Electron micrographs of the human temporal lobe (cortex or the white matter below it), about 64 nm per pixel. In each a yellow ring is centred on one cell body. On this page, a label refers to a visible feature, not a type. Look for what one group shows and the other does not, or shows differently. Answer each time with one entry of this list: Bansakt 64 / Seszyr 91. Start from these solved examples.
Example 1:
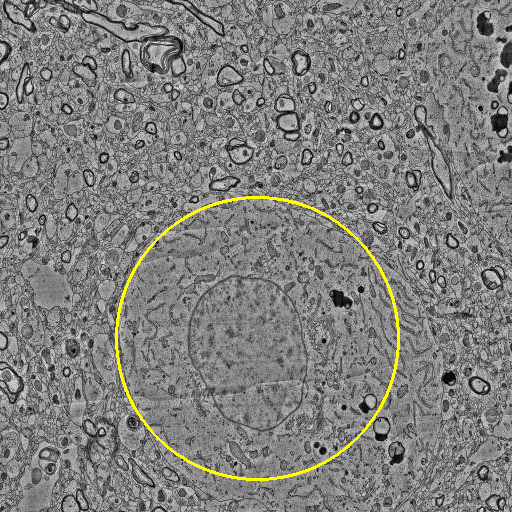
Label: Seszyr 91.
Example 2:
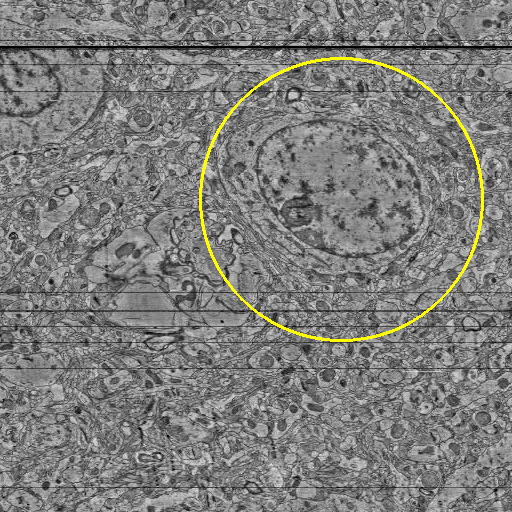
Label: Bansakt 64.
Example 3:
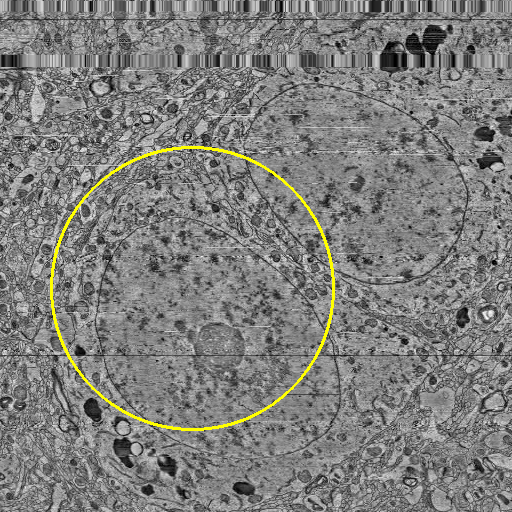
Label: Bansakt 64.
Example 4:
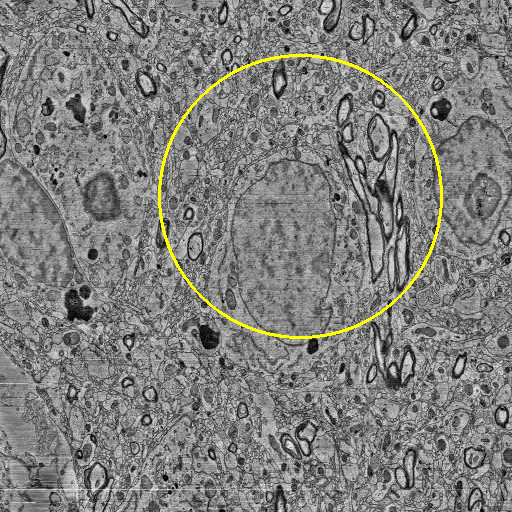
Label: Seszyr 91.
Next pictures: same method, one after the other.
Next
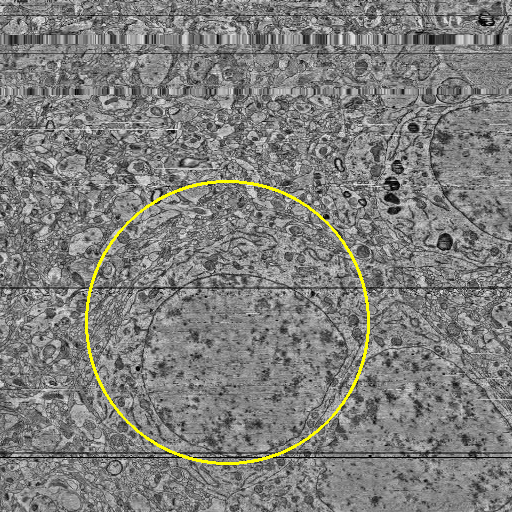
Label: Seszyr 91.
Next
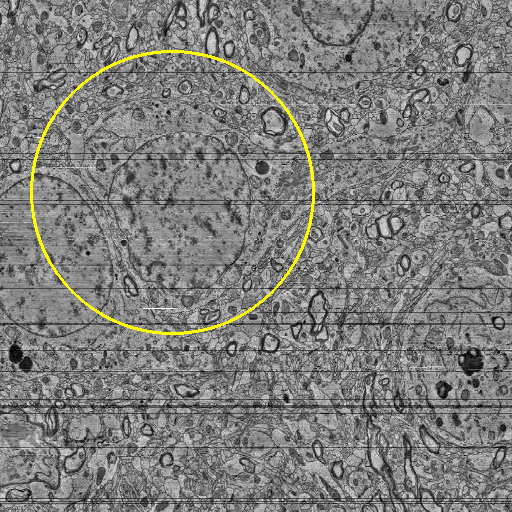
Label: Seszyr 91.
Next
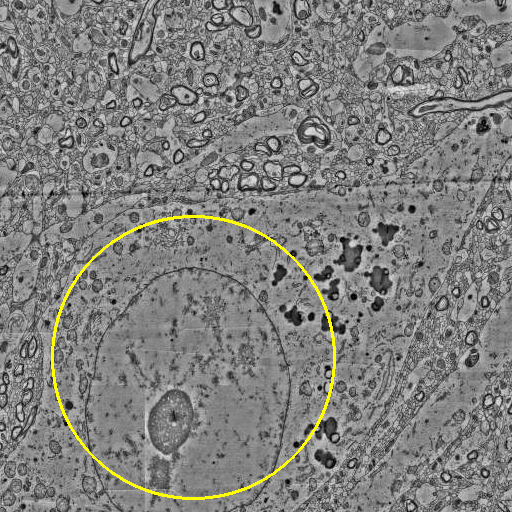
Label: Bansakt 64.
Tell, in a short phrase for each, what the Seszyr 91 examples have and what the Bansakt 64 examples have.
In Seszyr 91: no nucleolus seen. In Bansakt 64: nucleolus seen.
